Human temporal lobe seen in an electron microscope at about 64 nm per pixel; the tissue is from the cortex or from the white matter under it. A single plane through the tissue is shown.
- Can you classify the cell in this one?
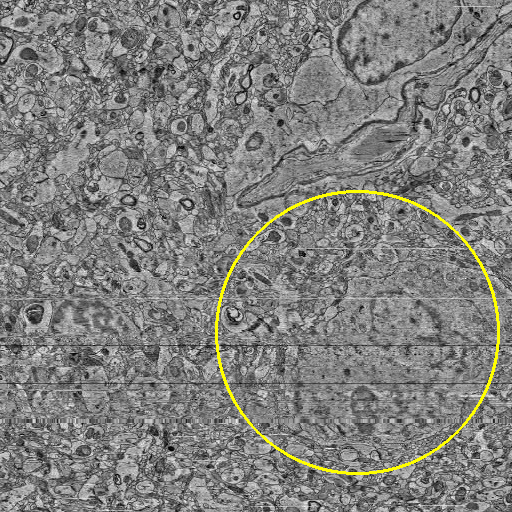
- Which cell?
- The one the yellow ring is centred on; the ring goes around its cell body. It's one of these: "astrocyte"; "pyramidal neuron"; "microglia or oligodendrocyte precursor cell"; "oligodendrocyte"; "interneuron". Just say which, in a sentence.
The cell body in the ring belongs to an interneuron.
